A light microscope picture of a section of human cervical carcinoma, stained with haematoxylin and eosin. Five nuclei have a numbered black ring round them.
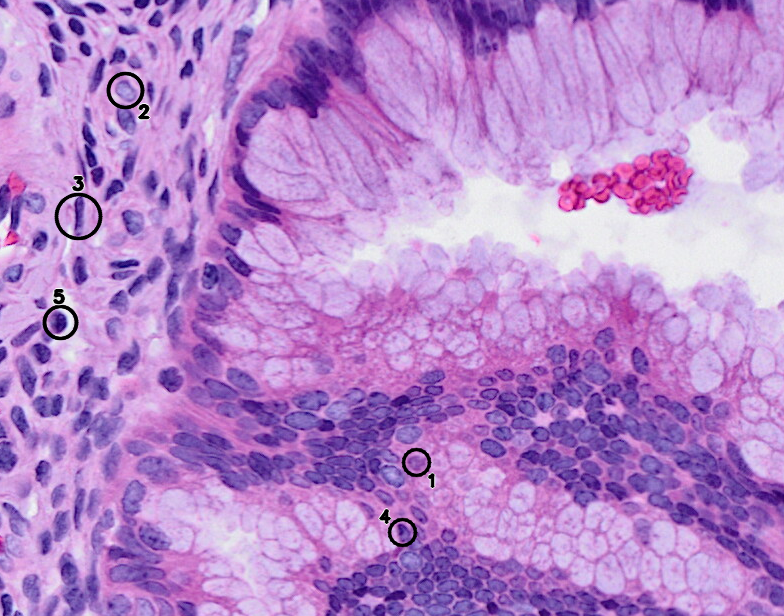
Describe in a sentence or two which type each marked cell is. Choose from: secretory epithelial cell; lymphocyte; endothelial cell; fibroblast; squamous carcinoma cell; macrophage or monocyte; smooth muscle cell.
Cells 1 and 4 are secretory epithelial cells. Cell 2 is an endothelial cell. Cell 3 is a fibroblast. Cell 5 is a lymphocyte.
